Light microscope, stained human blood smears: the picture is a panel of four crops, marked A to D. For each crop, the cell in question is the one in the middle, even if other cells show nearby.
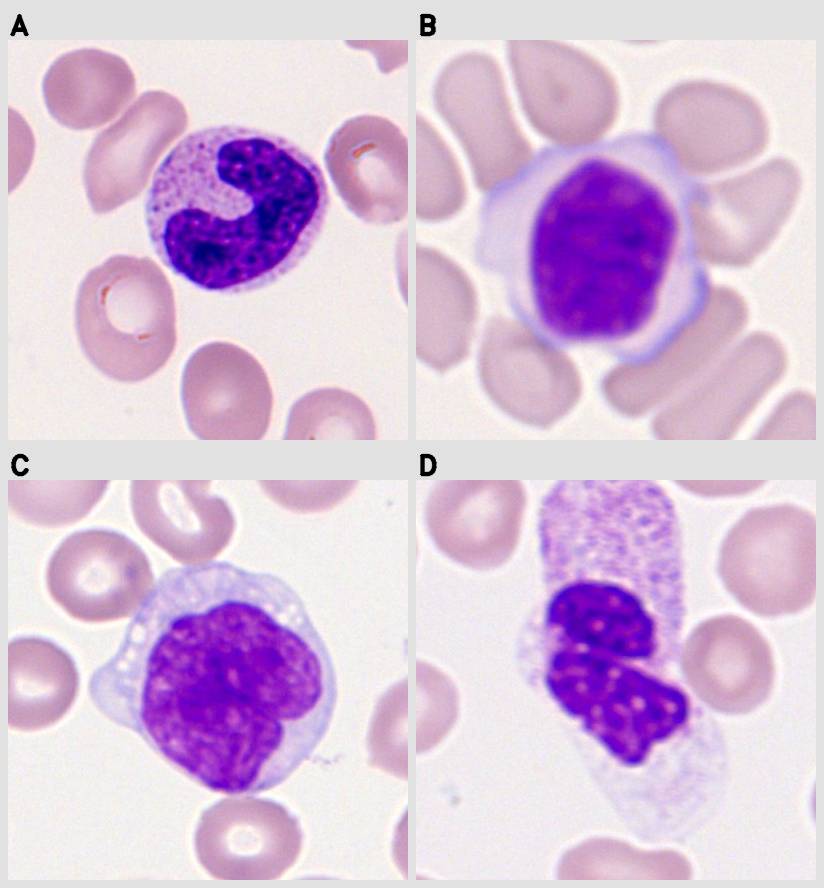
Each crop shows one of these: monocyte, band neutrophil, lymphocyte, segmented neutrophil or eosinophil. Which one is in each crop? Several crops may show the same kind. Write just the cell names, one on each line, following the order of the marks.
band neutrophil
lymphocyte
monocyte
segmented neutrophil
